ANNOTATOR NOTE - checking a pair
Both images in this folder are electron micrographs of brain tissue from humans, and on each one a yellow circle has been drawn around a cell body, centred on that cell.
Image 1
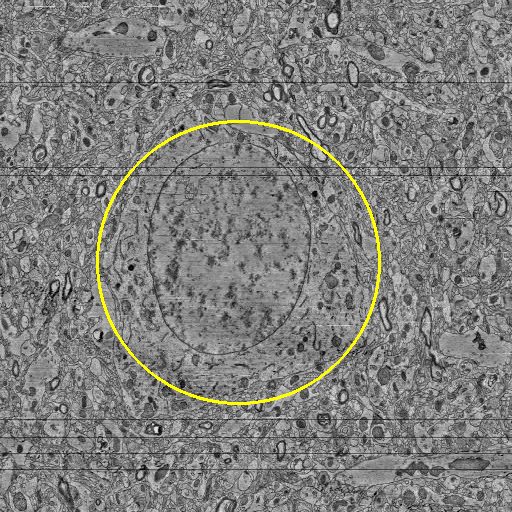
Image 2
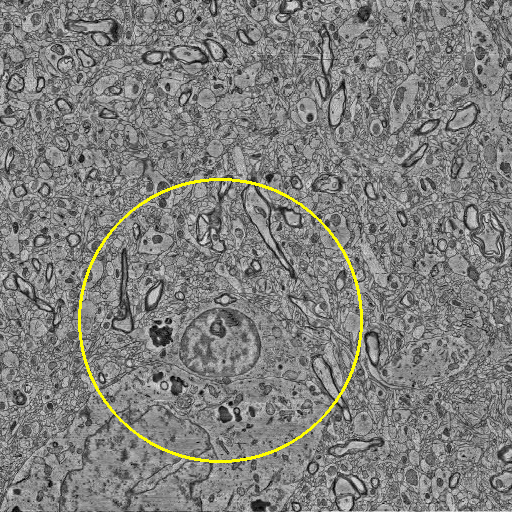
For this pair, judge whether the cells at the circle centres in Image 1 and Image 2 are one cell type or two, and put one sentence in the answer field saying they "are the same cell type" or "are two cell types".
For this pair, the cells at the circle centres in Images 1 and 2 are two cell types.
